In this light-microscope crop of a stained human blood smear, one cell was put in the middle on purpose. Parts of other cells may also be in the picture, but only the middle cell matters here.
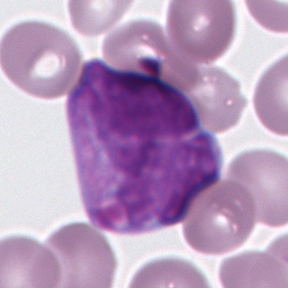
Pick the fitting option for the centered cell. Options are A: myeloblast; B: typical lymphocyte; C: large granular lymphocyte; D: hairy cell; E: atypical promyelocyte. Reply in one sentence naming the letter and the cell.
The cell at the centre, correctly named in option E, is an atypical promyelocyte.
